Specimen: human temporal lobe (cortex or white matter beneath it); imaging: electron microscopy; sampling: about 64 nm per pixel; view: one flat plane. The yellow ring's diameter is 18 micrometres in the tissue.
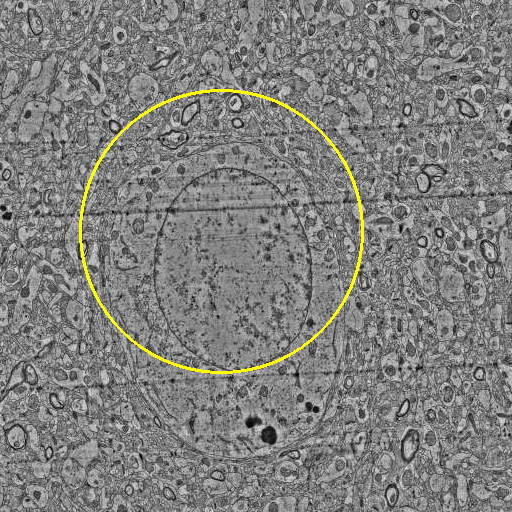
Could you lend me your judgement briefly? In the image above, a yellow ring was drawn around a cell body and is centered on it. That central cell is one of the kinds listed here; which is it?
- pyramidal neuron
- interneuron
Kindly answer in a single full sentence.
Going by the list, a pyramidal neuron is the kind at the ring's center in the picture.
